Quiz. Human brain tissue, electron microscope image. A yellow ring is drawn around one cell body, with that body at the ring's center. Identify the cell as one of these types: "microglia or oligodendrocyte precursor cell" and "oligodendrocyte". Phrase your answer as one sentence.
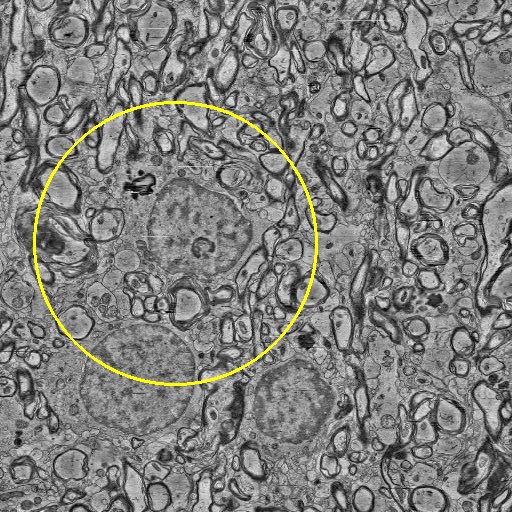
At the center of the ring sits an oligodendrocyte.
